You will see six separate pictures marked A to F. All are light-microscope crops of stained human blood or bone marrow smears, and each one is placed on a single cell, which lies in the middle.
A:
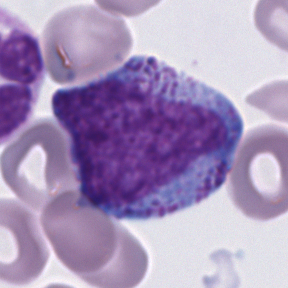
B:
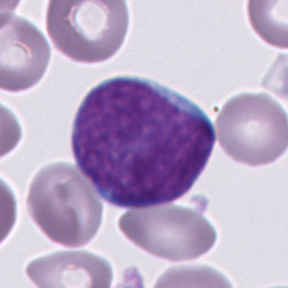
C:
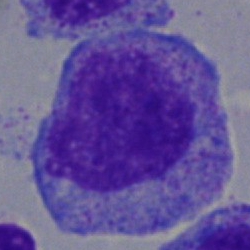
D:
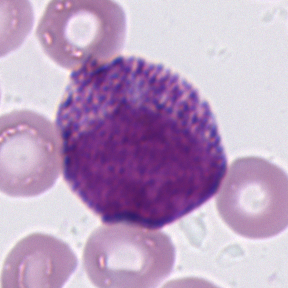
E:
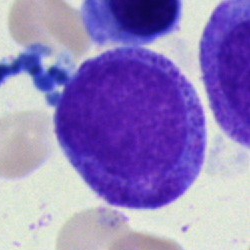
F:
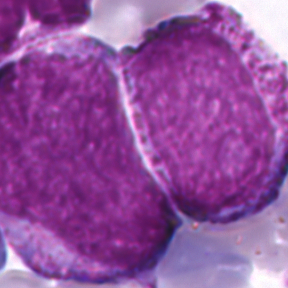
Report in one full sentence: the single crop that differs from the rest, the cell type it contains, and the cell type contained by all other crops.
There is a blast in crop B, while all the other crops show promyelocytes.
